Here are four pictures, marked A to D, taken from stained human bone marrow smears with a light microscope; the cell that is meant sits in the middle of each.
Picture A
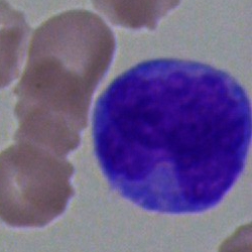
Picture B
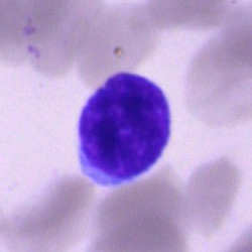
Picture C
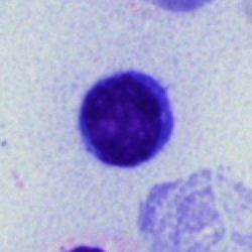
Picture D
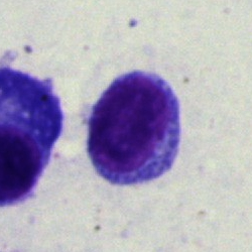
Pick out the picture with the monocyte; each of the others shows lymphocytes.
A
